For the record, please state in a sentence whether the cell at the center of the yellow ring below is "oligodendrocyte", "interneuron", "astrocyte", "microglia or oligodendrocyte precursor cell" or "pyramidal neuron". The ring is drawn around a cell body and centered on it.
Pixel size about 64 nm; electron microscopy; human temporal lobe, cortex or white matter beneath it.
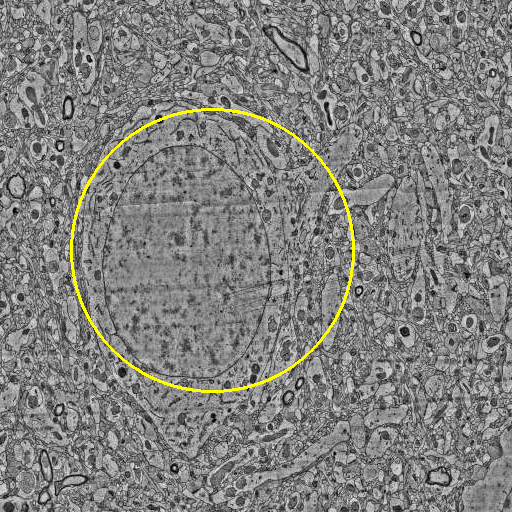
The cell at the ring's center is a pyramidal neuron.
